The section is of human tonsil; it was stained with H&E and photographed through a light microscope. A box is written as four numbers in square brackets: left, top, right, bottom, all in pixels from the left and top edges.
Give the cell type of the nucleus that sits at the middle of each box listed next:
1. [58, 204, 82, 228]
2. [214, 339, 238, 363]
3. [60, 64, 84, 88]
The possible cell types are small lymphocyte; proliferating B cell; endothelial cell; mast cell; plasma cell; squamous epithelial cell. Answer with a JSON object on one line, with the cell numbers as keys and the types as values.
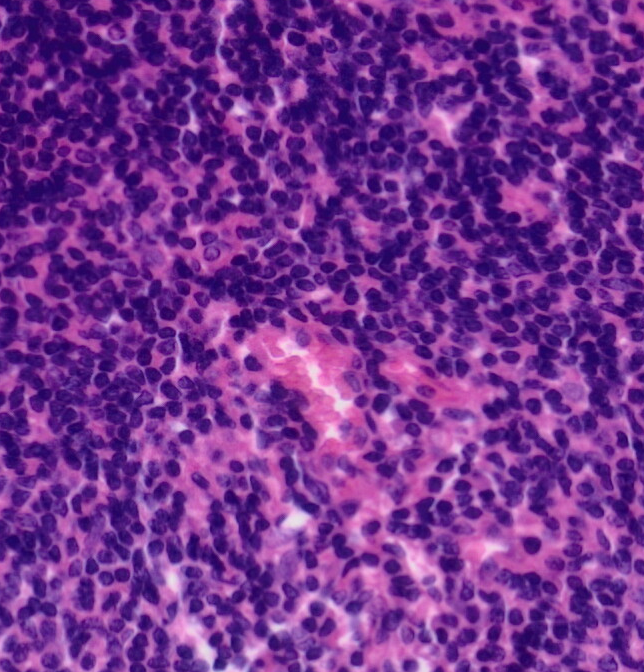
{"1": "small lymphocyte", "2": "endothelial cell", "3": "small lymphocyte"}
